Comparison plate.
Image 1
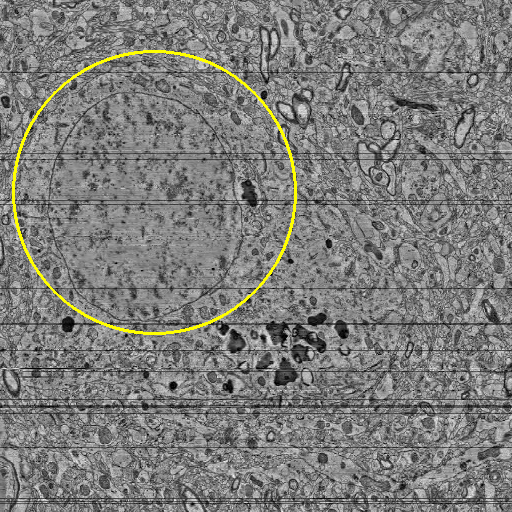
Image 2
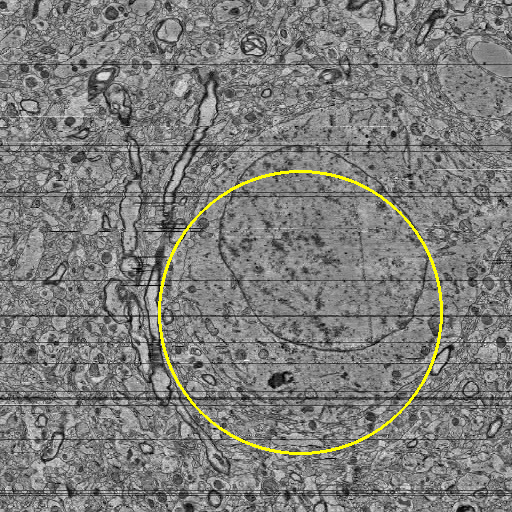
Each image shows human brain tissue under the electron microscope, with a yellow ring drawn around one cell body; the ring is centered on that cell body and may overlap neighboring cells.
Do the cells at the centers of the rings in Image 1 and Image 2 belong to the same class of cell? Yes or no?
yes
